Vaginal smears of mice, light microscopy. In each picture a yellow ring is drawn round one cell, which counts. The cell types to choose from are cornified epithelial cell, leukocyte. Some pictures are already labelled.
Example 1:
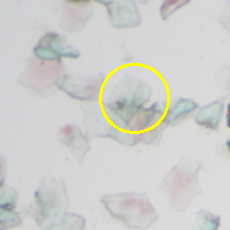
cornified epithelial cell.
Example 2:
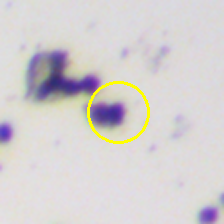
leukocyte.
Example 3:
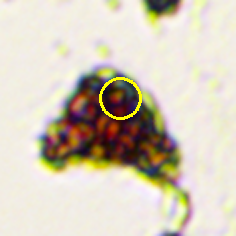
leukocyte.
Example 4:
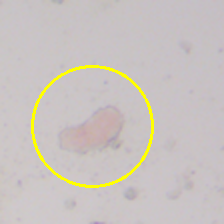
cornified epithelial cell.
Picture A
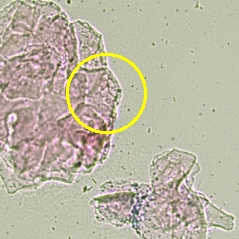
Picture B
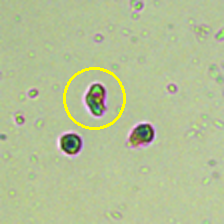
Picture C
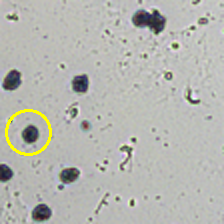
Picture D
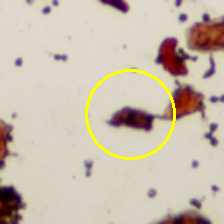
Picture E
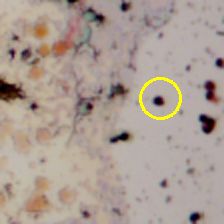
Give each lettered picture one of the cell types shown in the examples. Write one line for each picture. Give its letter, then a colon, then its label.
A: cornified epithelial cell.
B: leukocyte.
C: leukocyte.
D: cornified epithelial cell.
E: leukocyte.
